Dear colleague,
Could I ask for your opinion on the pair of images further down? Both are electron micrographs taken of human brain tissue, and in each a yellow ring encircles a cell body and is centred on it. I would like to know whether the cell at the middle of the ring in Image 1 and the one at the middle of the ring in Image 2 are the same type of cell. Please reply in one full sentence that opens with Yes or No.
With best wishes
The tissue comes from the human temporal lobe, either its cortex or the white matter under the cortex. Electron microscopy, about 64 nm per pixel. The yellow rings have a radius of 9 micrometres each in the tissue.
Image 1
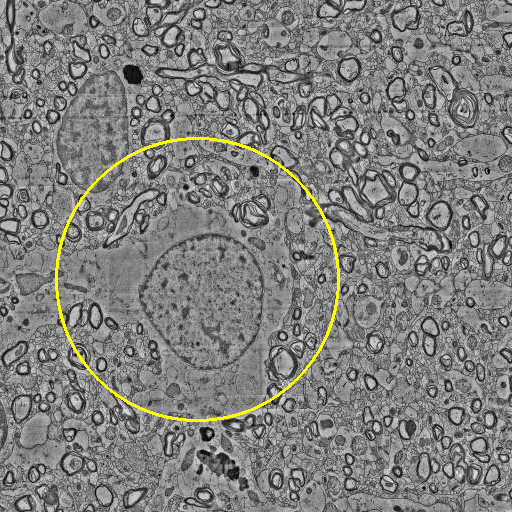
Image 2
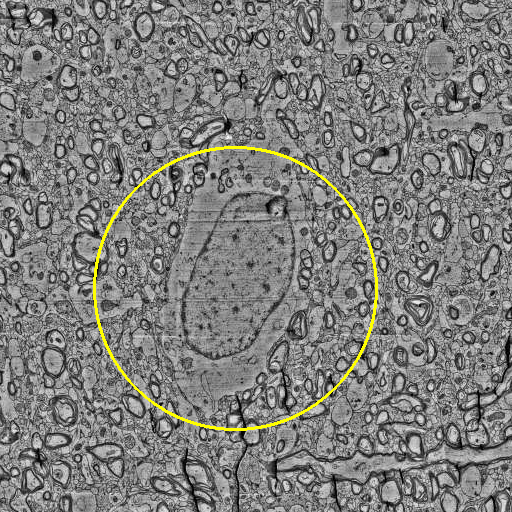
Yes, the cells at the ring centres in Image 1 and Image 2 are of one type.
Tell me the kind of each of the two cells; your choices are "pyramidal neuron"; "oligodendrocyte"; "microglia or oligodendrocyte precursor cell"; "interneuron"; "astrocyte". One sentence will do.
Each cell at the centre of a ring is an astrocyte.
